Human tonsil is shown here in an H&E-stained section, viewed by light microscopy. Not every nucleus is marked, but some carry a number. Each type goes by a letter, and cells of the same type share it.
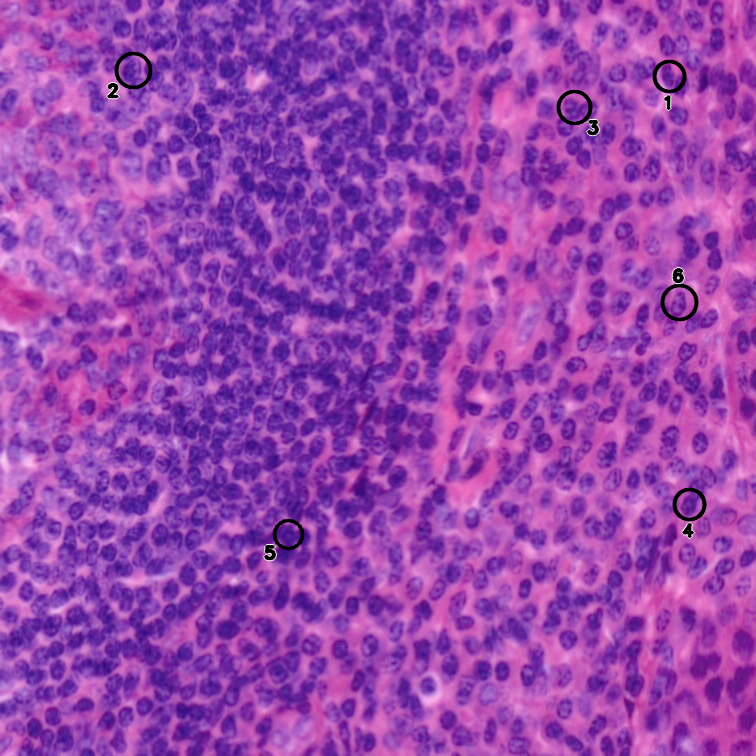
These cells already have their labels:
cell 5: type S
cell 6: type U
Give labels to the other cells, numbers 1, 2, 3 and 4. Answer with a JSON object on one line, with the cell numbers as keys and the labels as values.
{"1": "type U", "2": "type S", "3": "type U", "4": "type U"}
